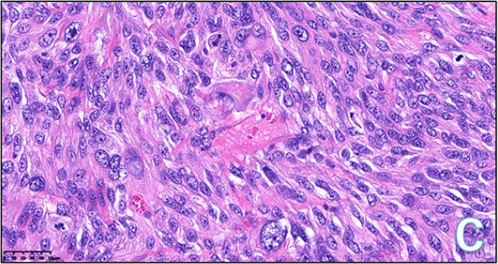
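High-power view of a malignant spindle-cell tumor in which elongated cells with pink cytoplasm stream in bundles. The nuclei are large, oval to elongated and vary in size, many with coarse chromatin and visible nucleoli. Scattered among them are a few cells with dark, condensed chromatin consistent with mitotic figures, and an occasional larger, irregular cell. Small vessels with red blood cells lie between the bundles.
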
